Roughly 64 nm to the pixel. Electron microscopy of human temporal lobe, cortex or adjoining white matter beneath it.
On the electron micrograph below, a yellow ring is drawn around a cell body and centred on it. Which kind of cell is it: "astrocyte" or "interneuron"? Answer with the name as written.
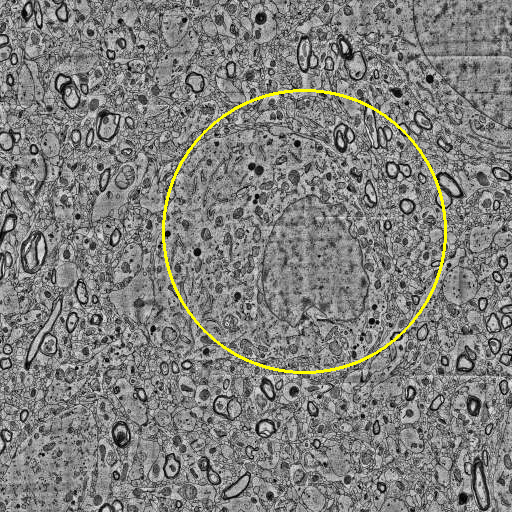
interneuron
